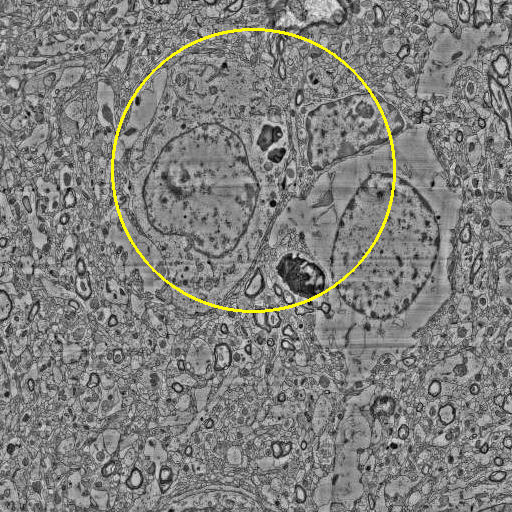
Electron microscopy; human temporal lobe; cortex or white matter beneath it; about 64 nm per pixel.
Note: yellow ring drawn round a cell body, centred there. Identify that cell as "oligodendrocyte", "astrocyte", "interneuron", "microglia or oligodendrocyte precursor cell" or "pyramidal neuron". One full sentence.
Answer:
The cell in the middle of the ring is a pyramidal neuron.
